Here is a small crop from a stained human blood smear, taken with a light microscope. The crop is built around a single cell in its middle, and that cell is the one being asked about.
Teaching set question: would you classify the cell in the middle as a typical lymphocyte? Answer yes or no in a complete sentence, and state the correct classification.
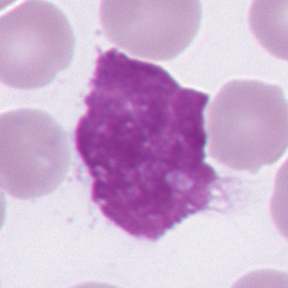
No, the central cell is identified not as a typical lymphocyte but as a smudge cell.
